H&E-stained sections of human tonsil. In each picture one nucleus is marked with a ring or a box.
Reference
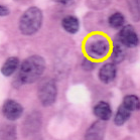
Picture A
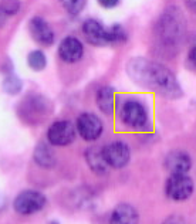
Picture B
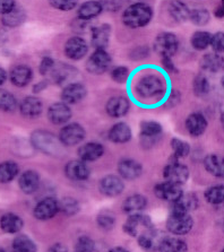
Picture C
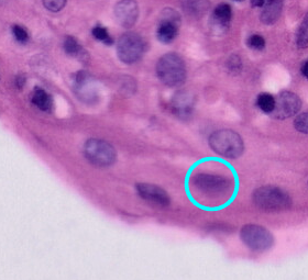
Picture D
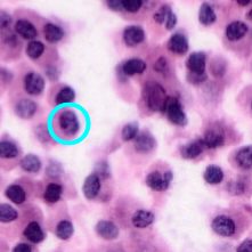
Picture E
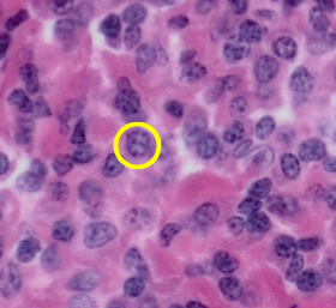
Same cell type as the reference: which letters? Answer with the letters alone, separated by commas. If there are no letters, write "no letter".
A, B, D, E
